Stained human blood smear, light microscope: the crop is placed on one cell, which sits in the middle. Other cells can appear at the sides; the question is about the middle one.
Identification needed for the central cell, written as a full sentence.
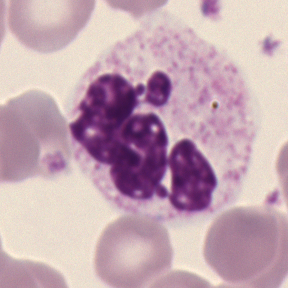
Centred in the crop is a segmented neutrophil.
